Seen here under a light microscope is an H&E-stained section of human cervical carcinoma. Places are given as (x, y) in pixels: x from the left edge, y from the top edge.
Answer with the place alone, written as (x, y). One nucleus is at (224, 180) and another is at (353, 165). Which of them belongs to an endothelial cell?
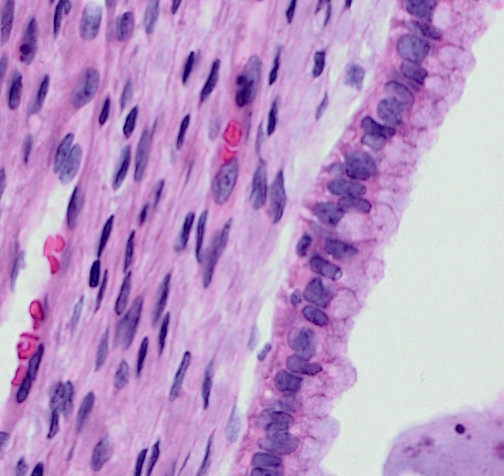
(224, 180)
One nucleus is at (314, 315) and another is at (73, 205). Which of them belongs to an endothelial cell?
(73, 205)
